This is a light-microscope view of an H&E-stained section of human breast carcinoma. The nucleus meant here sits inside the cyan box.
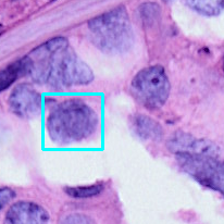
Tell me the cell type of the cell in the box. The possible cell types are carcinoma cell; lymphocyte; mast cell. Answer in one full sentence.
As for its identity, the cell in the box is a carcinoma cell.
